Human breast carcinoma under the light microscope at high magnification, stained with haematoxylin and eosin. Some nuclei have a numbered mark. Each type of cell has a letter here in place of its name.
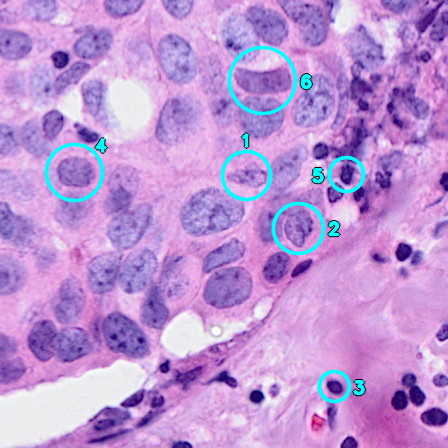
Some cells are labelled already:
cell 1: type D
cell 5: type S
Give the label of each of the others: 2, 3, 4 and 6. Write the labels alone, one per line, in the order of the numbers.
type D
type S
type D
type D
